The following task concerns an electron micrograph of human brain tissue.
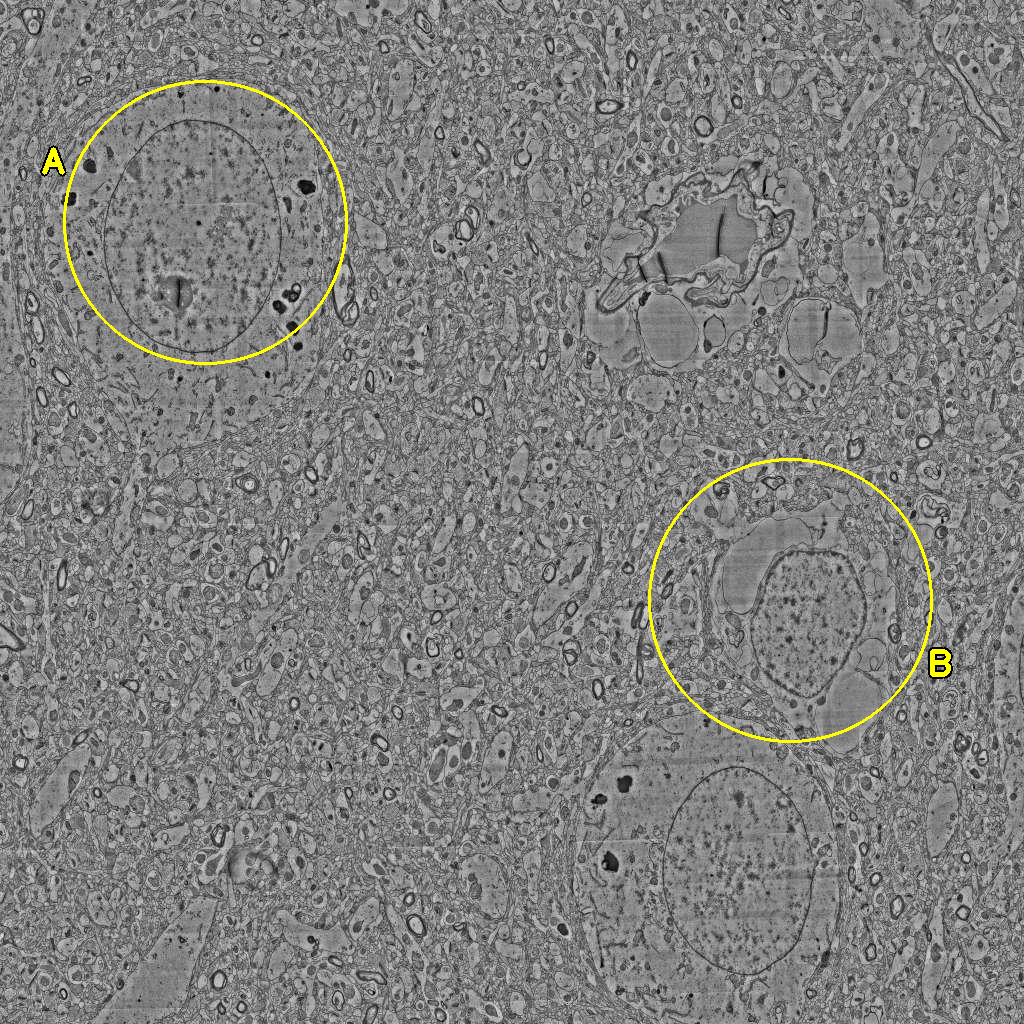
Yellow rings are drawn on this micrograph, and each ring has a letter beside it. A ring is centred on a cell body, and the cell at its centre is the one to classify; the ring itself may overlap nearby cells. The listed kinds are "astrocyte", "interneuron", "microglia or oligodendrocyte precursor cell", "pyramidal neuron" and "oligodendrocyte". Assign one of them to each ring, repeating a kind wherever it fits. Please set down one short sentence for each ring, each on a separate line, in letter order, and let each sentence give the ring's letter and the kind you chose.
The cell ringed as A is a pyramidal neuron.
The cell ringed as B is an astrocyte.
